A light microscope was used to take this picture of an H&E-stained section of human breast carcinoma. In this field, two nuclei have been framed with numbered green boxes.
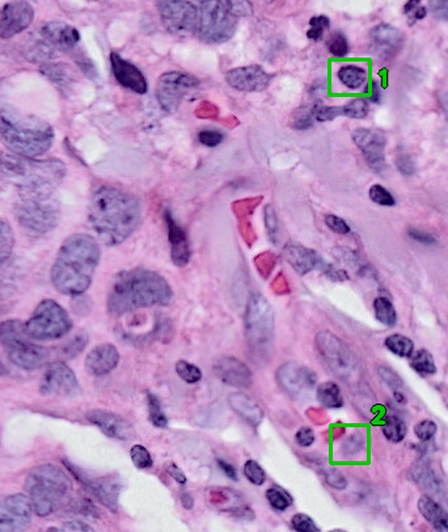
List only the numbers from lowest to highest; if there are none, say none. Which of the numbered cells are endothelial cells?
2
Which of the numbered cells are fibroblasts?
none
